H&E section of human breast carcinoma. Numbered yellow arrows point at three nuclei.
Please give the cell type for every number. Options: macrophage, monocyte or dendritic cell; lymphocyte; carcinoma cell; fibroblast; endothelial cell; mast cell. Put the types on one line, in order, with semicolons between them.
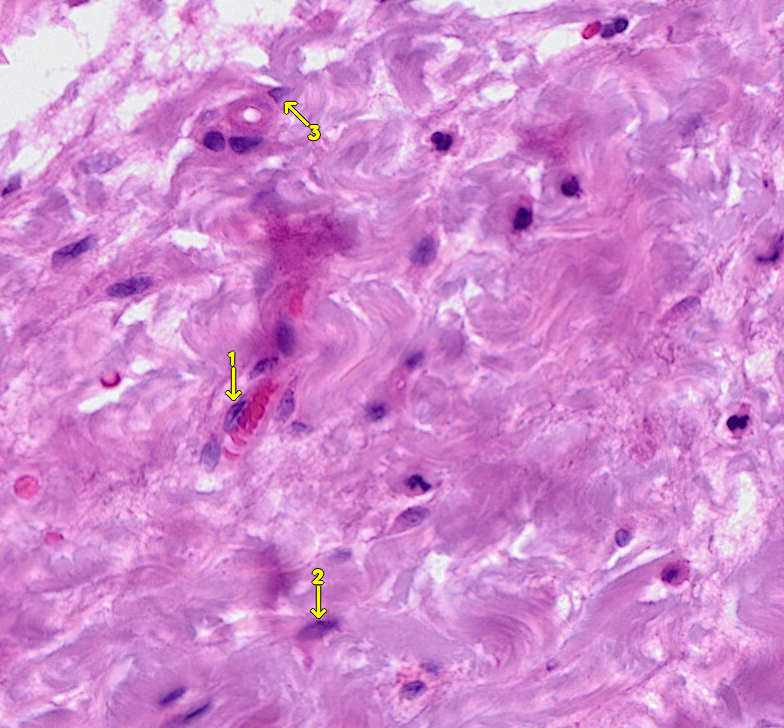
endothelial cell; fibroblast; fibroblast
